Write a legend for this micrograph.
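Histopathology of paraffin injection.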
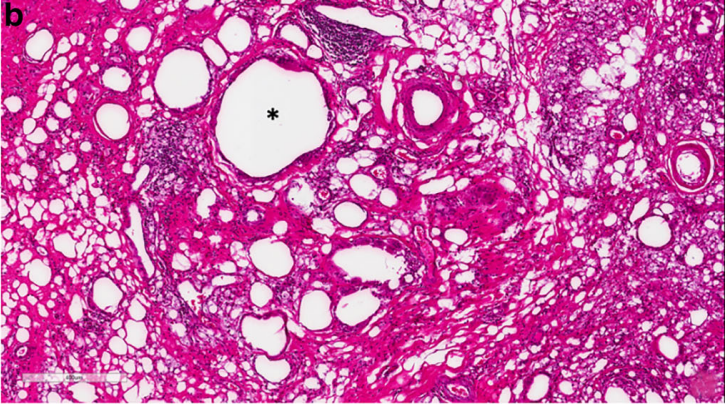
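This is soft tissue riddled with round, empty cyst-like spaces of very unequal size, from small vacuoles to one large cavity. The spaces are clear and lie in a network of pink fibrous tissue that rims each of them. Between the spaces there are patches of more cellular tissue with darker purple nuclei, including small clusters of densely packed nuclei that look like inflammatory cells. Some round pink structures with concentric layering are also seen among the spaces. The overall picture is of fatty-looking vacuoles embedded in scarring rather than normal orderly fat.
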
